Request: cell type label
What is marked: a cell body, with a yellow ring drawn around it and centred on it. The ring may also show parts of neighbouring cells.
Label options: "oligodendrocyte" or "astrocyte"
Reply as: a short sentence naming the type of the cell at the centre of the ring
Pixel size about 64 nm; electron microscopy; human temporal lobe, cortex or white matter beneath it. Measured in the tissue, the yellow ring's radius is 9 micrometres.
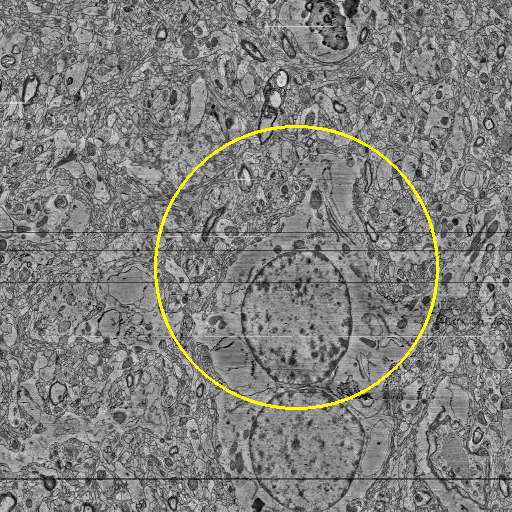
The marked cell body is that of an astrocyte.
